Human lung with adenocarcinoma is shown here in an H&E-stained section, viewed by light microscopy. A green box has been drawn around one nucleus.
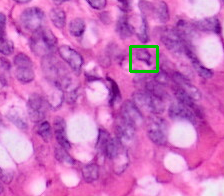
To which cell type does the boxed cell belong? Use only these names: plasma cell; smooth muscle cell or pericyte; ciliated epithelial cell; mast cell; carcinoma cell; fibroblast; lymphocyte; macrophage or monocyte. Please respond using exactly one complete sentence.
Within this tissue, the boxed cell is a ciliated epithelial cell.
